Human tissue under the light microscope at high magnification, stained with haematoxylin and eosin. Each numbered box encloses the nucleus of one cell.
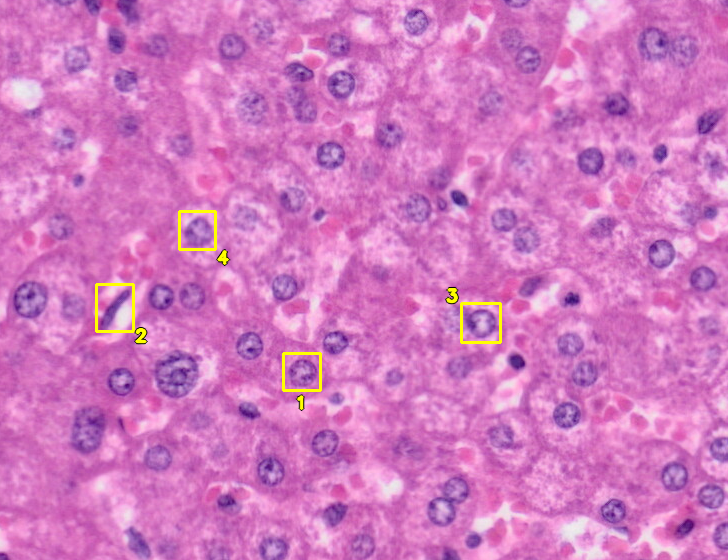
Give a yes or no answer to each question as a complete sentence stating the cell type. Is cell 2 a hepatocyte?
No, number 2 does not mark a hepatocyte; it marks a Kupffer cell.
